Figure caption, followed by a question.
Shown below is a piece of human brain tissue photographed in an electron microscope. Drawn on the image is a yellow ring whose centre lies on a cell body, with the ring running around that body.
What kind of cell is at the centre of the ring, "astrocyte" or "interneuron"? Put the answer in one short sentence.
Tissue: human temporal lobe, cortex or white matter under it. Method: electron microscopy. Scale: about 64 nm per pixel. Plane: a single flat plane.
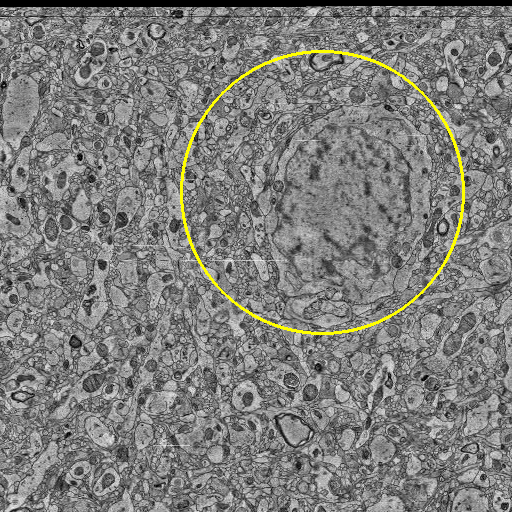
The ring marks the cell body of an interneuron.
